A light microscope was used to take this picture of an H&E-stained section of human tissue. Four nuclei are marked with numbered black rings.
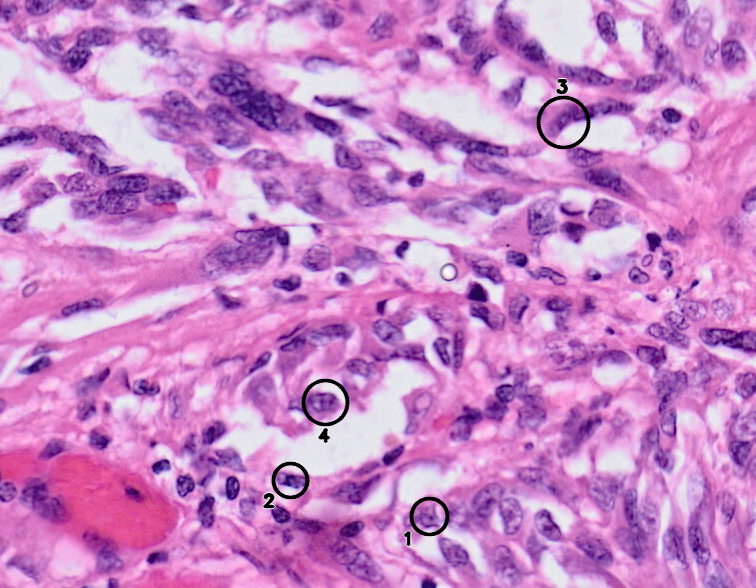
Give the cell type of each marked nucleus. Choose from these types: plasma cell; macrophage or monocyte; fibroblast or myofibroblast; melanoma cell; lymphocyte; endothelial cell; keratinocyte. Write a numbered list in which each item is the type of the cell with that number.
1. melanoma cell
2. lymphocyte
3. melanoma cell
4. melanoma cell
